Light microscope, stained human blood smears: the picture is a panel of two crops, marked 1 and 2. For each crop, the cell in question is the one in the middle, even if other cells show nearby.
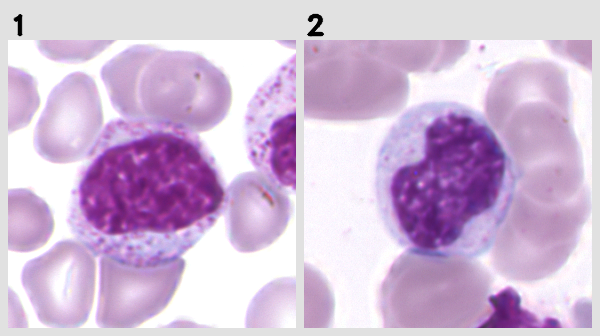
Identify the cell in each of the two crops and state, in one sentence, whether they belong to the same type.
Yes, both crops show metamyelocytes in the centre of the field.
